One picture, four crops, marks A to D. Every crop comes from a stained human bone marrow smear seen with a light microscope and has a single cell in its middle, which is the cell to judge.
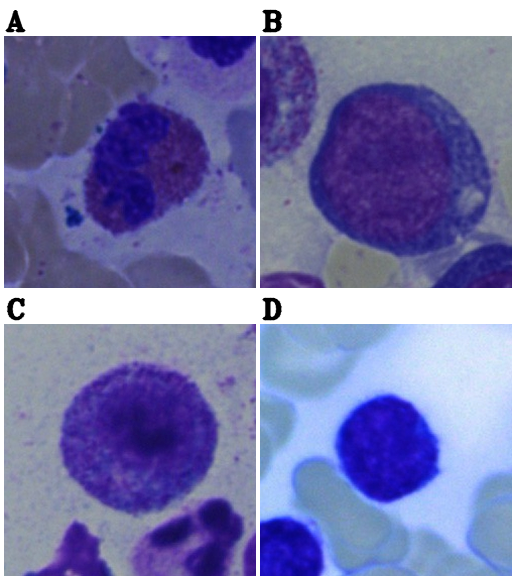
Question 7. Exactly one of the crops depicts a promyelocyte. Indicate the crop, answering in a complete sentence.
Crop C is the one to choose: it shows a promyelocyte.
